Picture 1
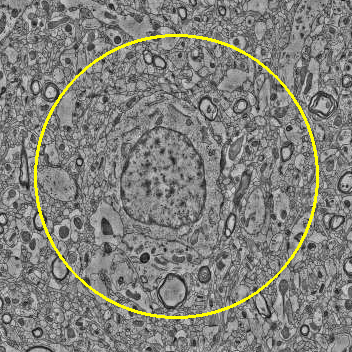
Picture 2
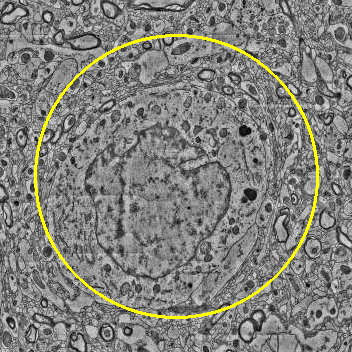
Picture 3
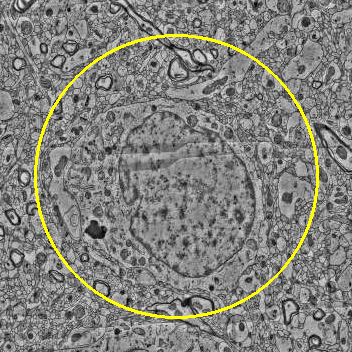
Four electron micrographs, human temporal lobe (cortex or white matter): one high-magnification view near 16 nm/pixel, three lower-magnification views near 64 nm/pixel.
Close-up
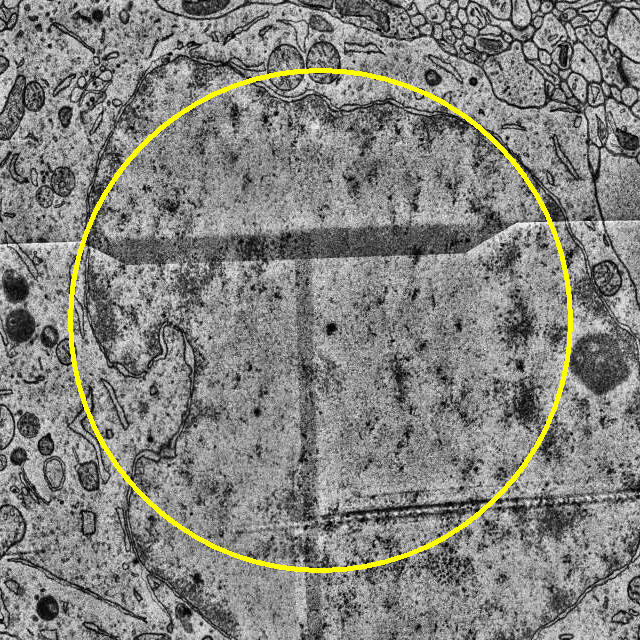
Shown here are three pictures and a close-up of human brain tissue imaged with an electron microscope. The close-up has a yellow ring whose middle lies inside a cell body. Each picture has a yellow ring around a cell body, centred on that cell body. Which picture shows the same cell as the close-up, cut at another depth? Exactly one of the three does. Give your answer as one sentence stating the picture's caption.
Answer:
The ringed cell whose close-up is shown lies in Picture 3.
